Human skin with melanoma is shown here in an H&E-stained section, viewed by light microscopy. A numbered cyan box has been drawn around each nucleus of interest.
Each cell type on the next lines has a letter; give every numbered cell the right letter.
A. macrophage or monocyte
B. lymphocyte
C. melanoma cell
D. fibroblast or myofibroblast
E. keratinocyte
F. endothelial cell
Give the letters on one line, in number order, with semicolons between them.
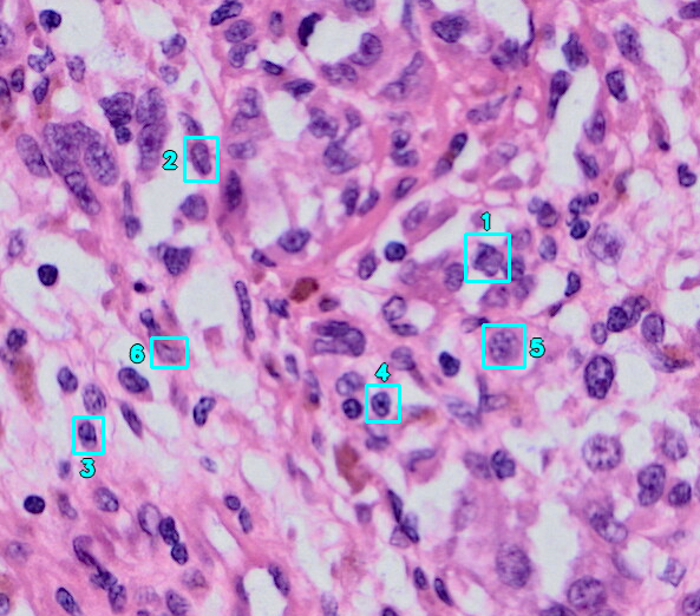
C; A; B; B; C; A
